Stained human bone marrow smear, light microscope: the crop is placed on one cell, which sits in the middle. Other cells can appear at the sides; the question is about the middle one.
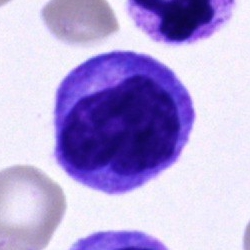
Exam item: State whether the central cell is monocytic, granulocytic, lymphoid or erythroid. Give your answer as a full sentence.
In this crop the cell in the center is part of the monocytic lineage.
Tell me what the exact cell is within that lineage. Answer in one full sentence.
Where the crop is centred, there is a monocyte.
